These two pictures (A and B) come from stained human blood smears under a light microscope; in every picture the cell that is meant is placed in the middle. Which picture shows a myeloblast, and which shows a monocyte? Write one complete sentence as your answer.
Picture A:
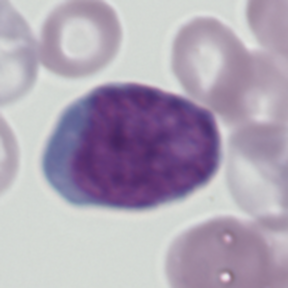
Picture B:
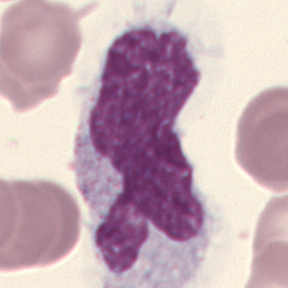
It is picture A that shows a myeloblast, and picture B that shows a monocyte.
